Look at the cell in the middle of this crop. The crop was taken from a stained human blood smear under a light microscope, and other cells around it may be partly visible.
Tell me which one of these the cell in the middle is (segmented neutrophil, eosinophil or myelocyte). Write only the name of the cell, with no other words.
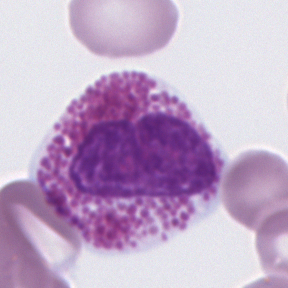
eosinophil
